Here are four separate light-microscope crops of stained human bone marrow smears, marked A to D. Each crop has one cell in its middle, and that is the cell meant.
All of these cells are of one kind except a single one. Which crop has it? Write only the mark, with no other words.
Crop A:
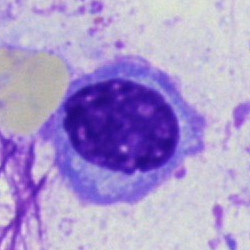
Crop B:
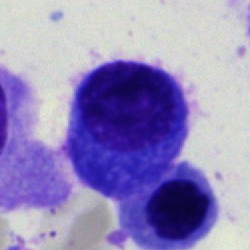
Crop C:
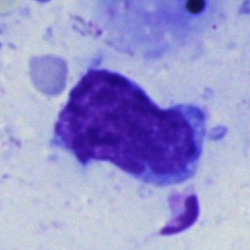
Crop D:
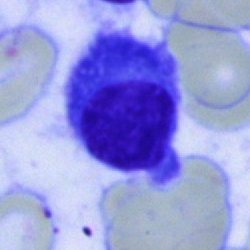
C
